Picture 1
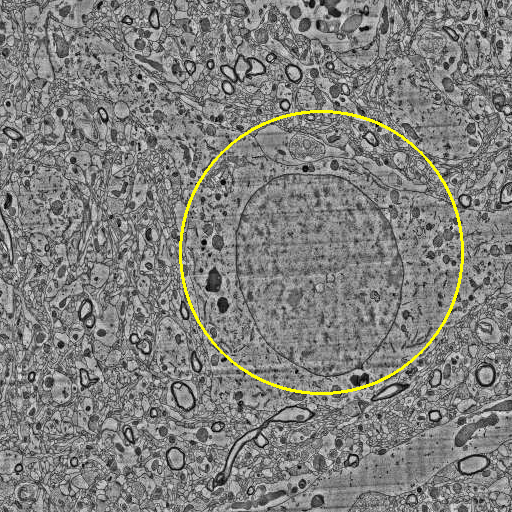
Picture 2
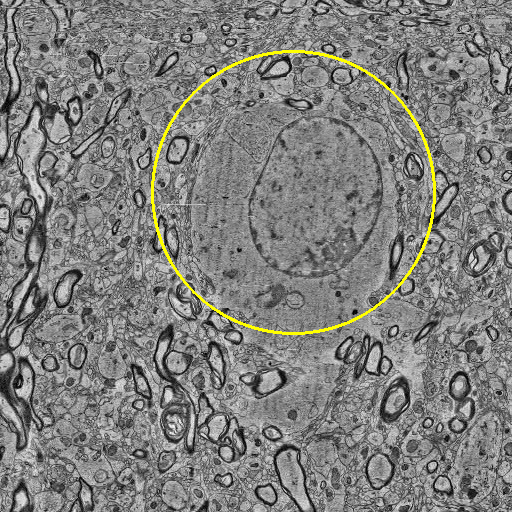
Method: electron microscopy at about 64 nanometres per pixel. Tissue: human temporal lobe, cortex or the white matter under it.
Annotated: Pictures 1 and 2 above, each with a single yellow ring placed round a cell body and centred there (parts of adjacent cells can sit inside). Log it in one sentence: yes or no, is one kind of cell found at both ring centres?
No, the ring centres of the two pictures hold cells of two kinds.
